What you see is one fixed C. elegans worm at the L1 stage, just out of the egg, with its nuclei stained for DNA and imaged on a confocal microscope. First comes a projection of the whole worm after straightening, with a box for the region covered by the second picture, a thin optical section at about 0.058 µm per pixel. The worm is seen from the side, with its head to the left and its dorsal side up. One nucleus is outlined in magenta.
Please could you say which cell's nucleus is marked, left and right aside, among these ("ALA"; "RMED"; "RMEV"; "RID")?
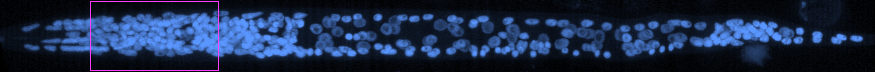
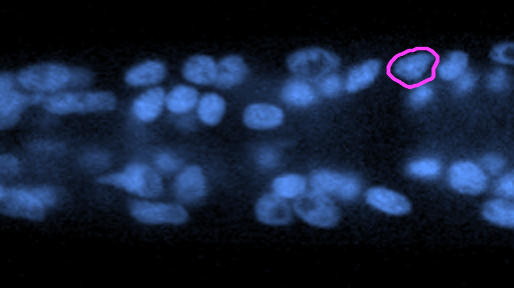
RID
